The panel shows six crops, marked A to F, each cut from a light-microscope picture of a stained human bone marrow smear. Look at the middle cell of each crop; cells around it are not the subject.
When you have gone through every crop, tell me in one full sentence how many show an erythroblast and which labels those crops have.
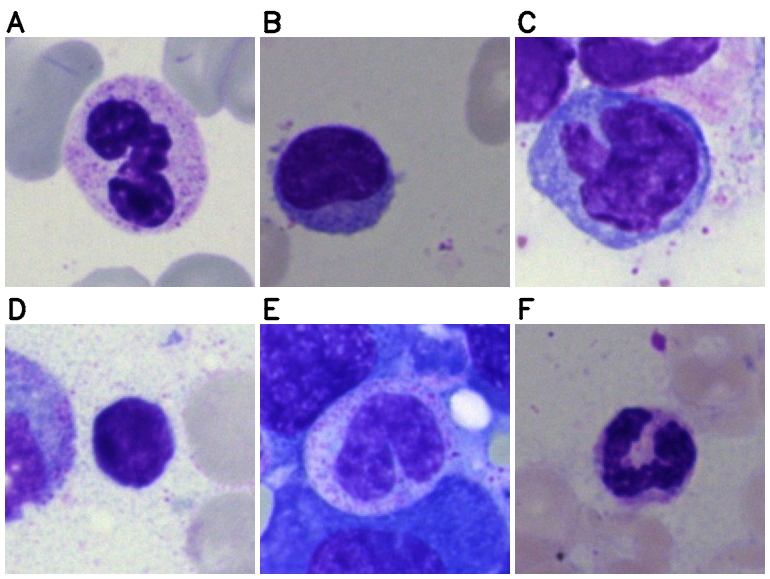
Among the crops there are no erythroblasts, so the count is zero.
